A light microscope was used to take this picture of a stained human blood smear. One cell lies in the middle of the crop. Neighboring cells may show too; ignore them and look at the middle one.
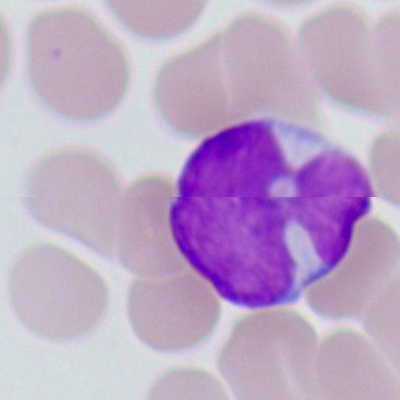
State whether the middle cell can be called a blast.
yes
